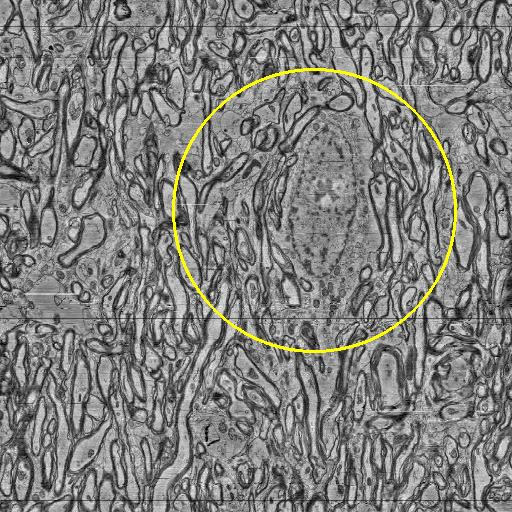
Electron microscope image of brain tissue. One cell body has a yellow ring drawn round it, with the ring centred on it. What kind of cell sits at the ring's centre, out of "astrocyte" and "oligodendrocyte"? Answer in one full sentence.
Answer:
It is an astrocyte whose cell body sits at the centre of the yellow ring.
